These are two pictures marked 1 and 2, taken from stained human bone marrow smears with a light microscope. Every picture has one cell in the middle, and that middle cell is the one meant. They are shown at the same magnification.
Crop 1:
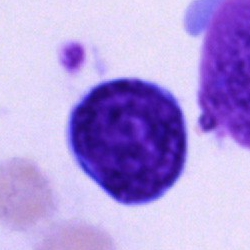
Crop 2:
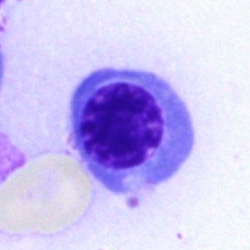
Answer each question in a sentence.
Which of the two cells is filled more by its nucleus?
It is the cell in crop 1 that is filled more by its nucleus.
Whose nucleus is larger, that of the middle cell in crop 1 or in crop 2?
Crop 1 shows the larger nucleus; it covers about 2 times the area of the nucleus in crop 2.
